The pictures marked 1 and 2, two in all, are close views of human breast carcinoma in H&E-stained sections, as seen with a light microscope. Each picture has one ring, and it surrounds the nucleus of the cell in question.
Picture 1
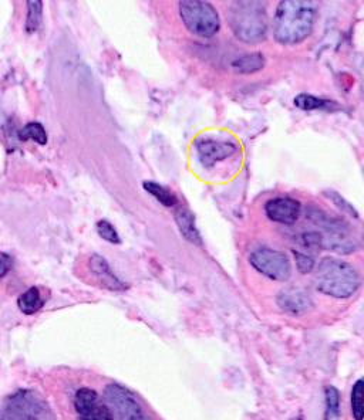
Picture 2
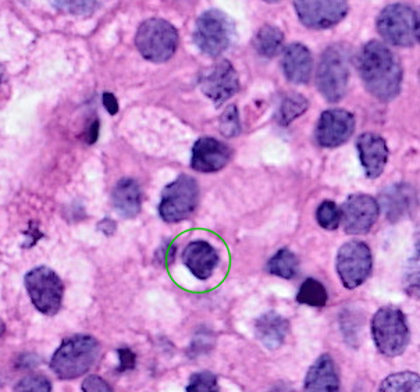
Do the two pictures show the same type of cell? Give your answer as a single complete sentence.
No; the cell in picture 1 is a “macrophage, monocyte or dendritic cell”, while the one in picture 2 is a carcinoma cell.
